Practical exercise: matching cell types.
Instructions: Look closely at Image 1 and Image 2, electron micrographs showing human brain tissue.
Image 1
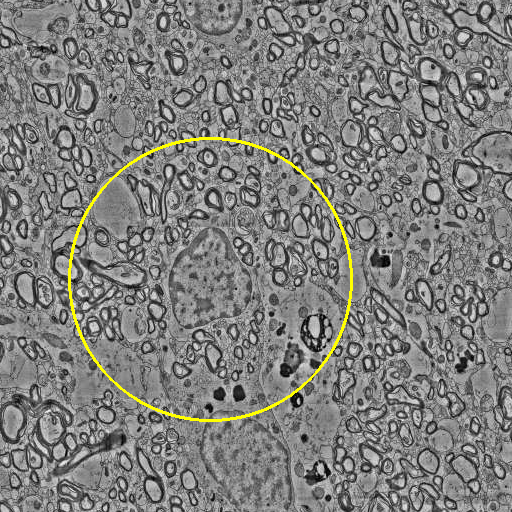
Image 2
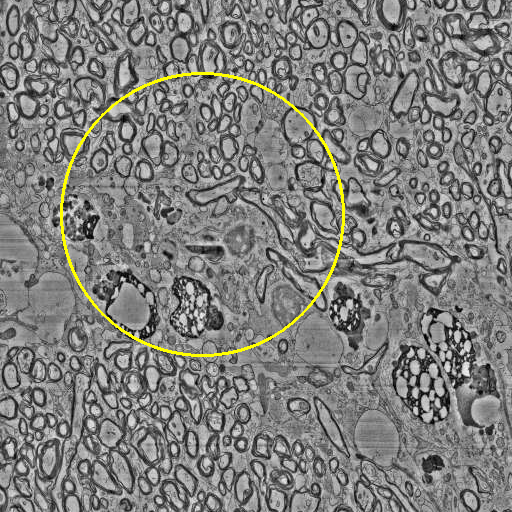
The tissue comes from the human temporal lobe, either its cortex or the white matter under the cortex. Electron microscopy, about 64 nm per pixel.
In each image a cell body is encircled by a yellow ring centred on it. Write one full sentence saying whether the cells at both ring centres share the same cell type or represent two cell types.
Across Image 1 and Image 2, the cells at the ring centres share the same cell type.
